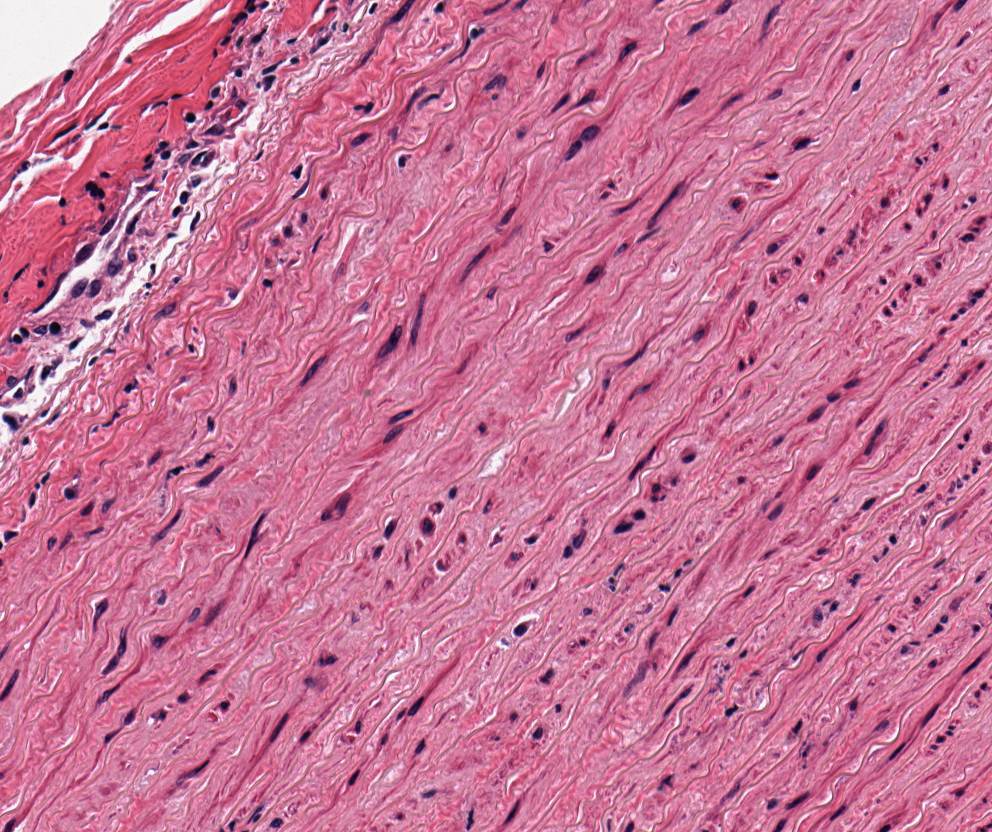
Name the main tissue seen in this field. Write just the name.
tunica media of an artery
